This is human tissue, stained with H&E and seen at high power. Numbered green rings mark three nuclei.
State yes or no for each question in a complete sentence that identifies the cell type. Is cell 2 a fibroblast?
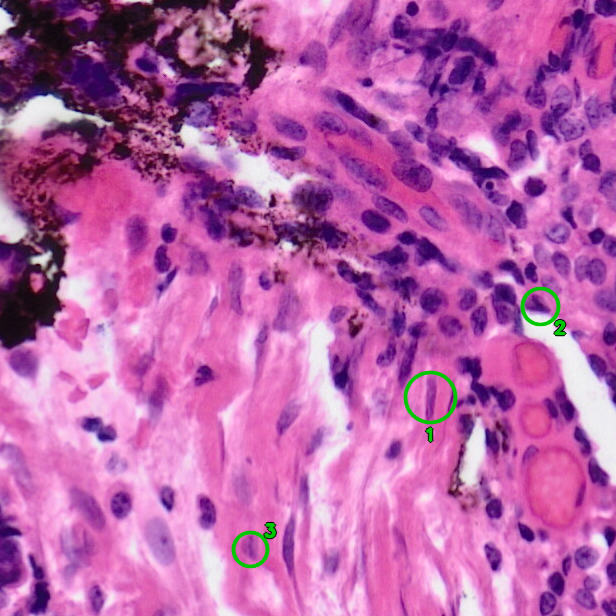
No, the cell under number 2 is a carcinoma cell, not a fibroblast.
